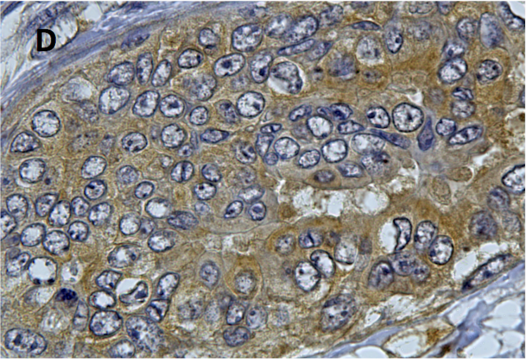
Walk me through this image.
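The nuclei are vesicular with coarse chromatin clumps and one or more distinct nucleoli. The cytoplasm between them is filled with a diffuse, finely granular brown stain. At the edges a little blue fibrous stroma borders the nest.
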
